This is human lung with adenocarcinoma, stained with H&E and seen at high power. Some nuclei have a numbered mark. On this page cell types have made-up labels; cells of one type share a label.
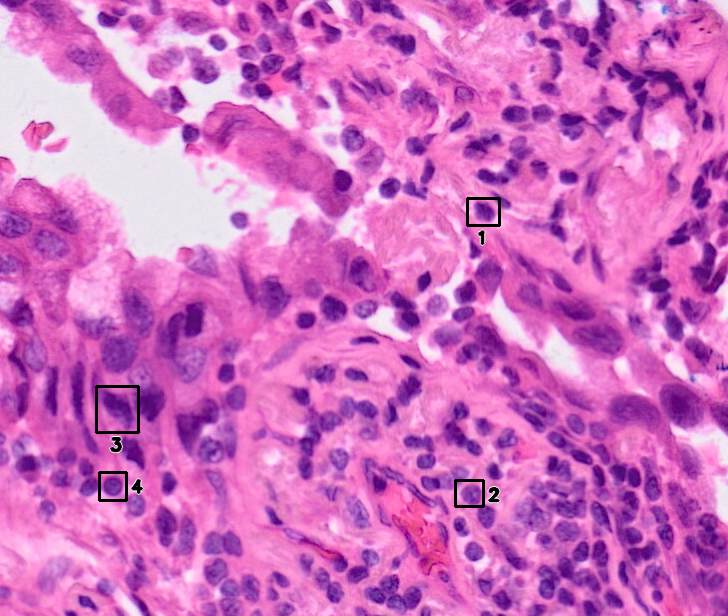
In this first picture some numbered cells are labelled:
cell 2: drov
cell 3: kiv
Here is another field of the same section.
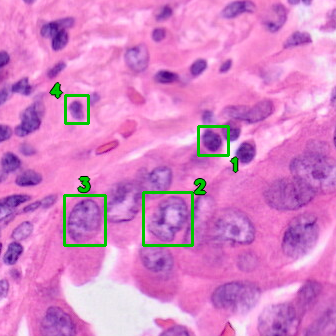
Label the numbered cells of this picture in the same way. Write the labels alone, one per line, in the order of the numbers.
drov
kiv
kiv
drov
